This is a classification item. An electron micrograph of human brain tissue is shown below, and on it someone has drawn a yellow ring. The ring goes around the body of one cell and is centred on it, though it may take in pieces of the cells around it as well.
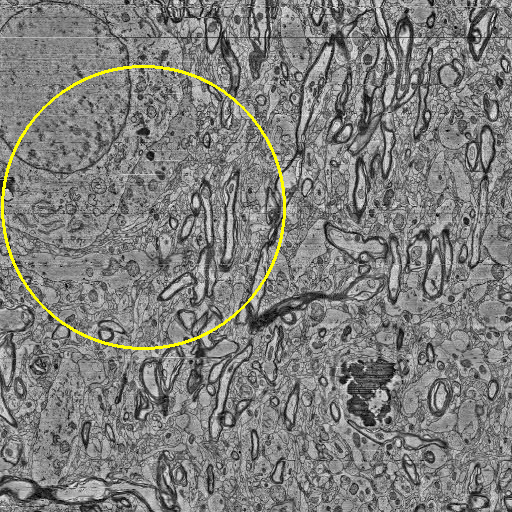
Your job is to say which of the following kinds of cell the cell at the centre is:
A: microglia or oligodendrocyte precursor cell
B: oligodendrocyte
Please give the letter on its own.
B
